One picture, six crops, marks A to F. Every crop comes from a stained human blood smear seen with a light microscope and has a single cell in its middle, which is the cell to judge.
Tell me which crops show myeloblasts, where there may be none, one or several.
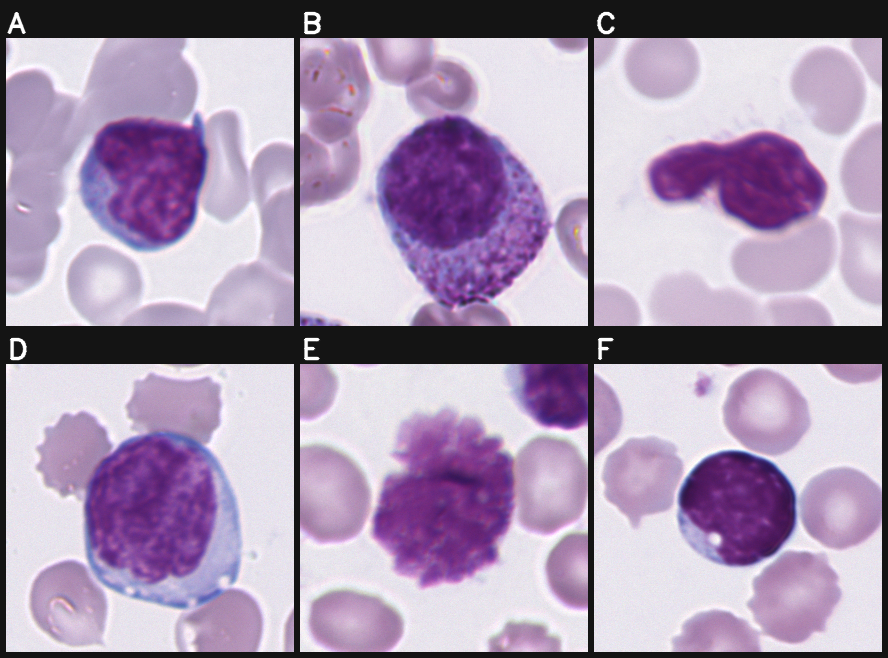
D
